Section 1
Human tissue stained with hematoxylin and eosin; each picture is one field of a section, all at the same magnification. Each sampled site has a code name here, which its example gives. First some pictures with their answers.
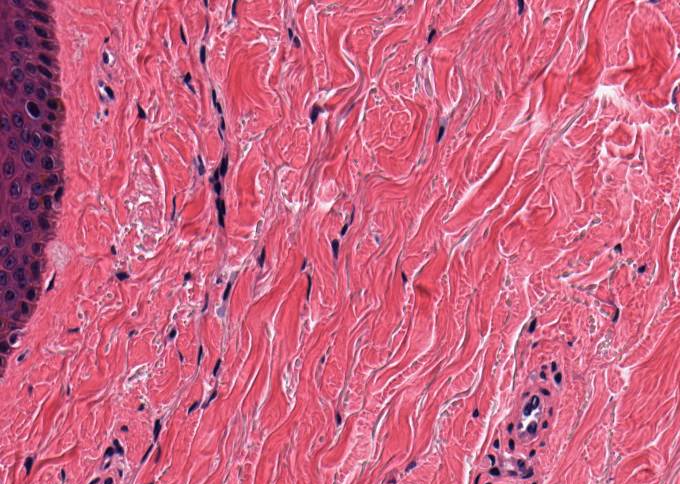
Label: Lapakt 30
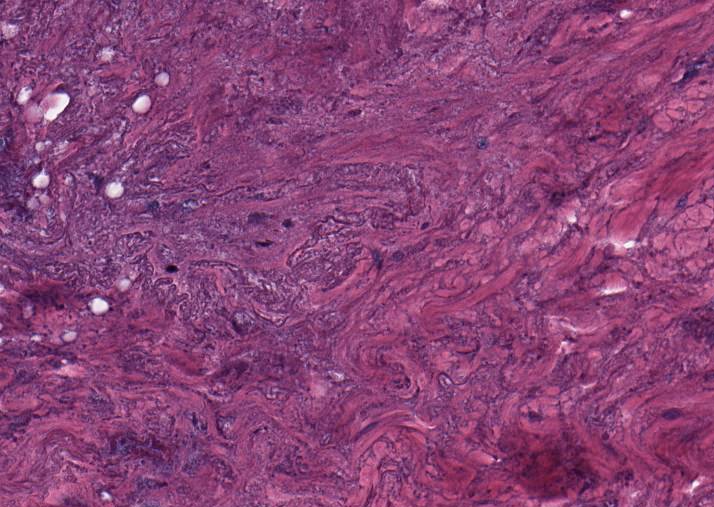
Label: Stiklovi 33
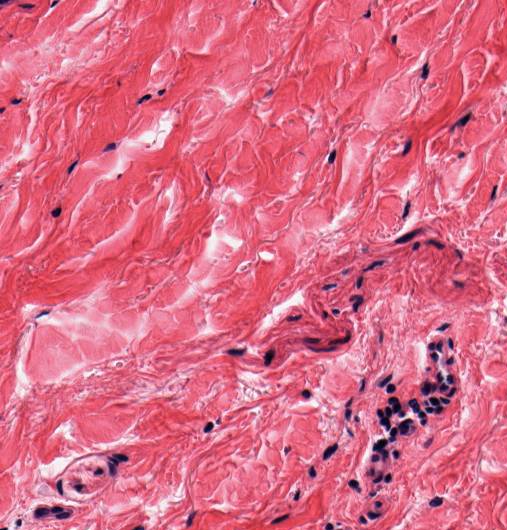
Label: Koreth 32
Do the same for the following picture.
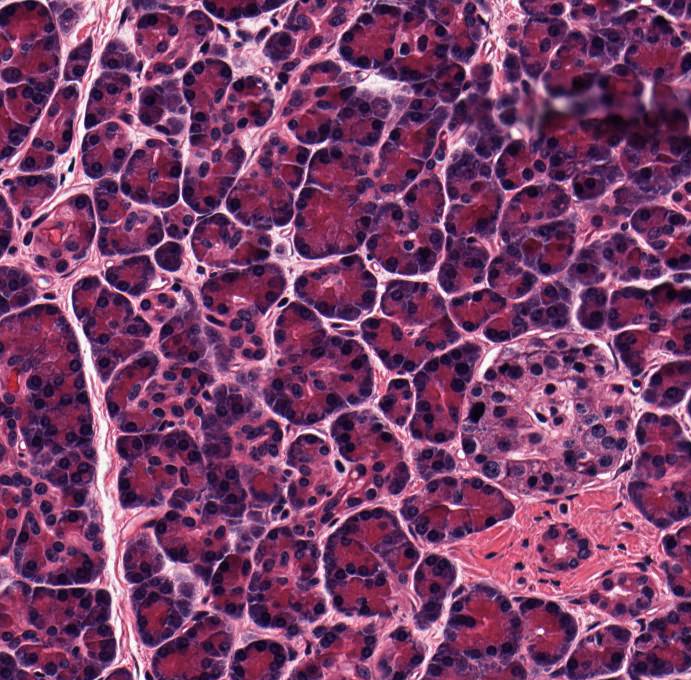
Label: Stiklovi 33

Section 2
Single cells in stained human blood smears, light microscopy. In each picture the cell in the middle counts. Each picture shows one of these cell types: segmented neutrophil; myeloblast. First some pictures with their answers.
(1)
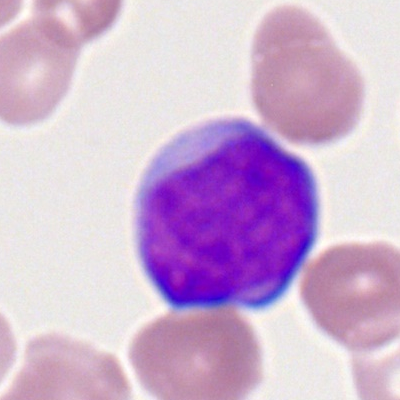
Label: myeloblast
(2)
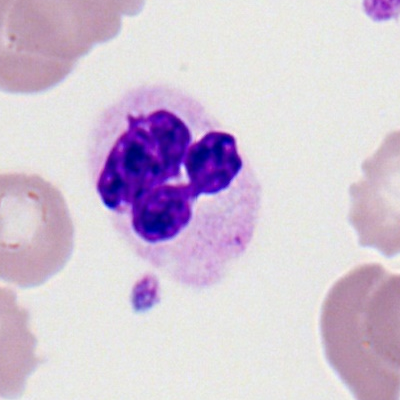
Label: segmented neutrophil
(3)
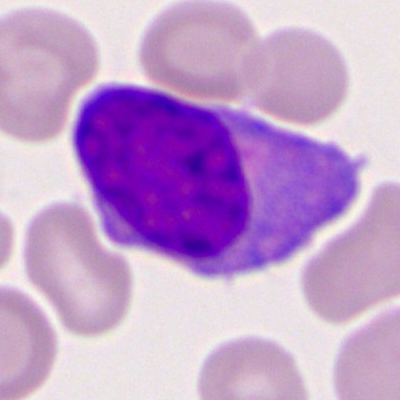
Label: myeloblast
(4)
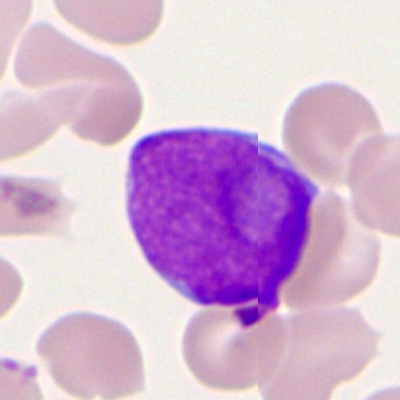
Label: myeloblast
